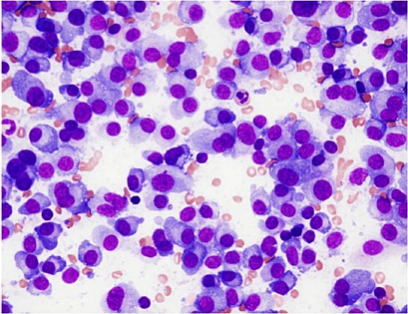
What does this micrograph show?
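A bone marrow aspirate smear densely populated by plasma cells, scattered among pink red blood cells on a pale background. Most nucleated cells are medium to large, oval or polygonal, with a round, dark purple nucleus set off to one side of the cell. Their cytoplasm is abundant and blue-grey to lilac. Some cells carry two nuclei. The cells lie singly and in loose clusters that fill much of the field. A few smaller cells with dense, dark nuclei and scant cytoplasm are interspersed. Other marrow cell types are sparse beside the predominant plasma cells.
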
